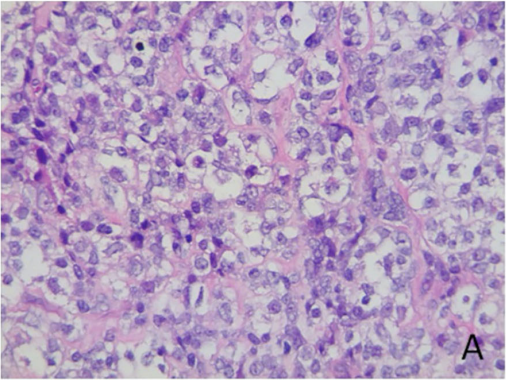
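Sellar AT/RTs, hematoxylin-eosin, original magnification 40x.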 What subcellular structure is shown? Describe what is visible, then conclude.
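Many cells have empty-looking, clear cytoplasm around the nucleus. Some cytoplasm is pale and bubbly rather than solidly pink. That points to this answer: pale, clear or vacuolated cytoplasm.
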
